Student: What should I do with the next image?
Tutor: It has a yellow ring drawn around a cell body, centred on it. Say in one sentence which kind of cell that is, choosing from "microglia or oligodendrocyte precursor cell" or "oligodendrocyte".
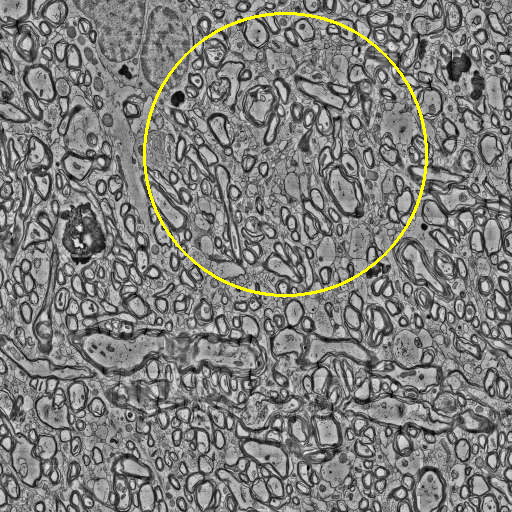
The ring's centre is occupied by a microglial cell or oligodendrocyte precursor cell.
